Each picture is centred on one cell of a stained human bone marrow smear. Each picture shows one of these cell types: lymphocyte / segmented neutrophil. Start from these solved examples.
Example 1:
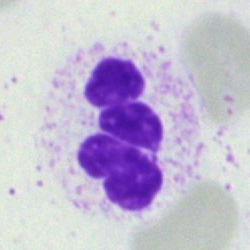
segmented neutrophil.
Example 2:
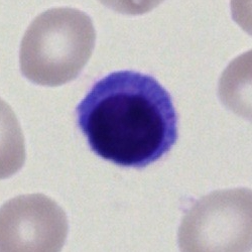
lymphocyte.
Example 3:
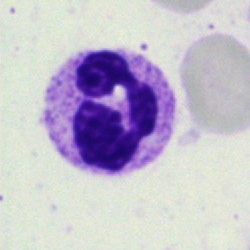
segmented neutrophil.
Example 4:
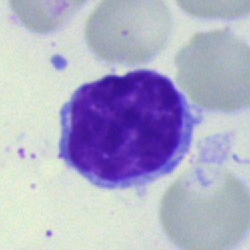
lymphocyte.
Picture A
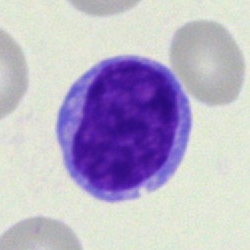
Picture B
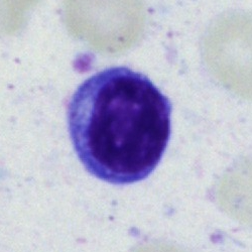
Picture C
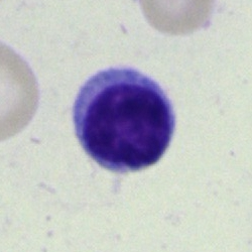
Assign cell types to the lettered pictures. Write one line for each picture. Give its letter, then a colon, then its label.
A: lymphocyte.
B: lymphocyte.
C: lymphocyte.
